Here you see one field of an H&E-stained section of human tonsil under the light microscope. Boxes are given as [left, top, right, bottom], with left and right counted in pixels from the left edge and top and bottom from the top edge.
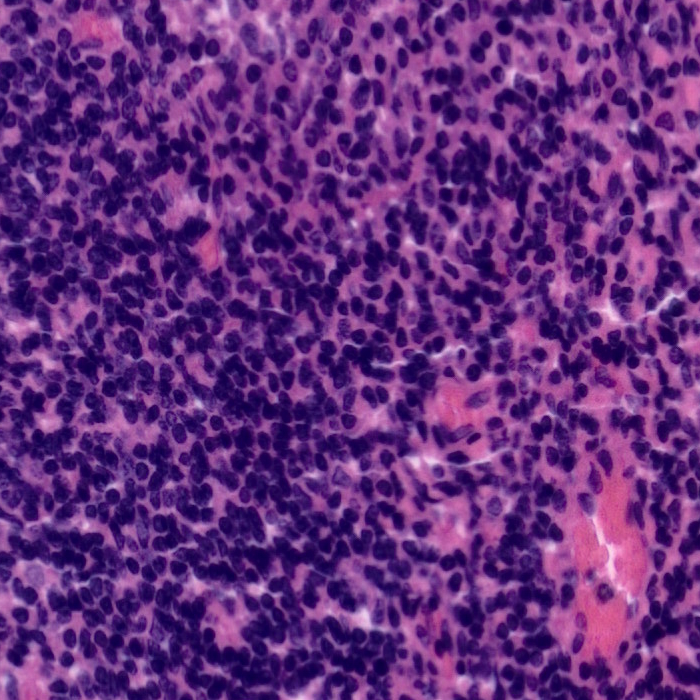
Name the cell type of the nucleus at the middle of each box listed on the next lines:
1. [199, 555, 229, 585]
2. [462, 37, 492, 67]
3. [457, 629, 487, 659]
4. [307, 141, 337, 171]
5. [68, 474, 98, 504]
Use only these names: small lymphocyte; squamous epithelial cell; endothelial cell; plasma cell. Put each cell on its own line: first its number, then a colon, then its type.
1: small lymphocyte
2: plasma cell
3: small lymphocyte
4: plasma cell
5: small lymphocyte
